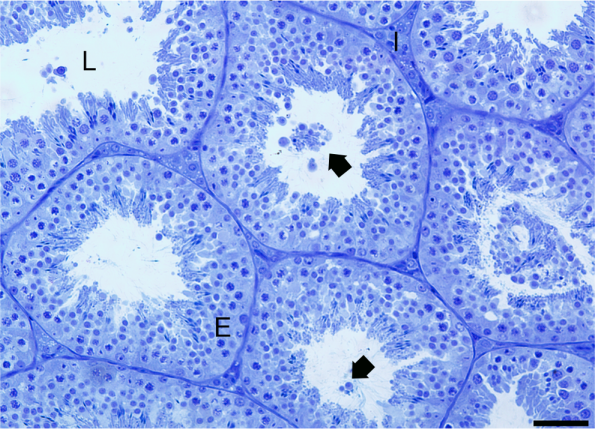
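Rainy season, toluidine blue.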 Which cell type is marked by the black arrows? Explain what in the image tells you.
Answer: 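Germ cell. The arrows point at small round cells lying free in the lumen of the tubules. The pointed cells are detached from the lining epithelium.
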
